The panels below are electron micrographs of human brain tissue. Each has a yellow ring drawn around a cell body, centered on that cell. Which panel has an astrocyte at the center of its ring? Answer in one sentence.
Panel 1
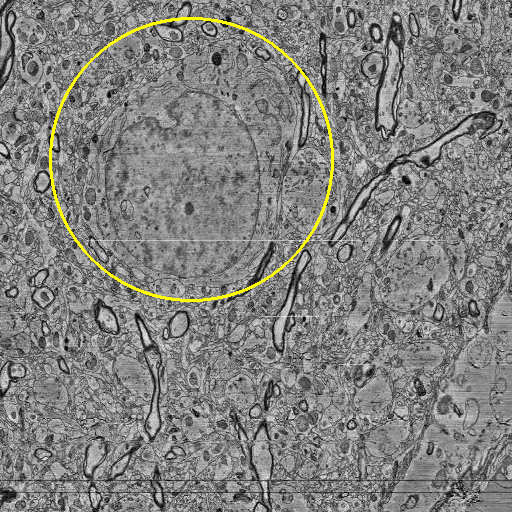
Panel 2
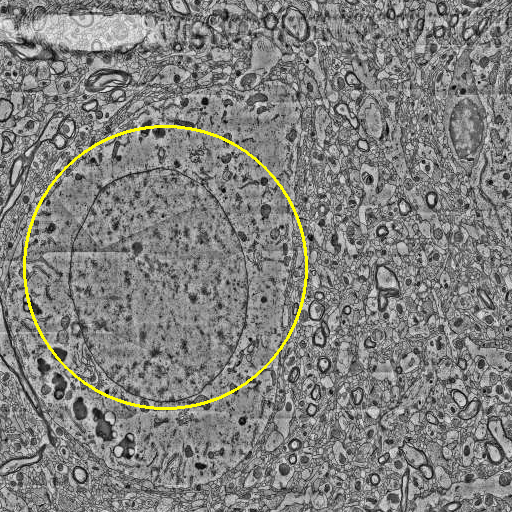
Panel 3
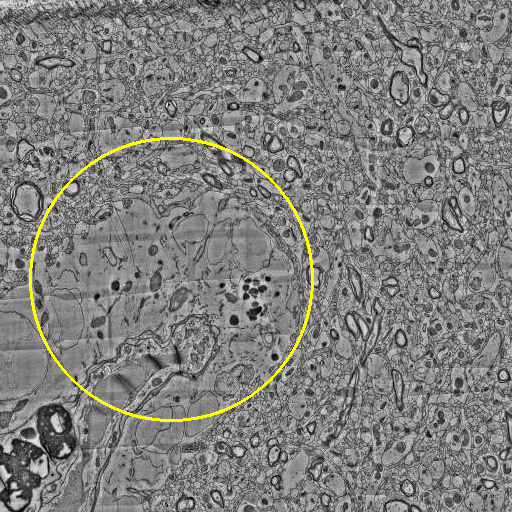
Panel 3 has it at the center of its ring.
